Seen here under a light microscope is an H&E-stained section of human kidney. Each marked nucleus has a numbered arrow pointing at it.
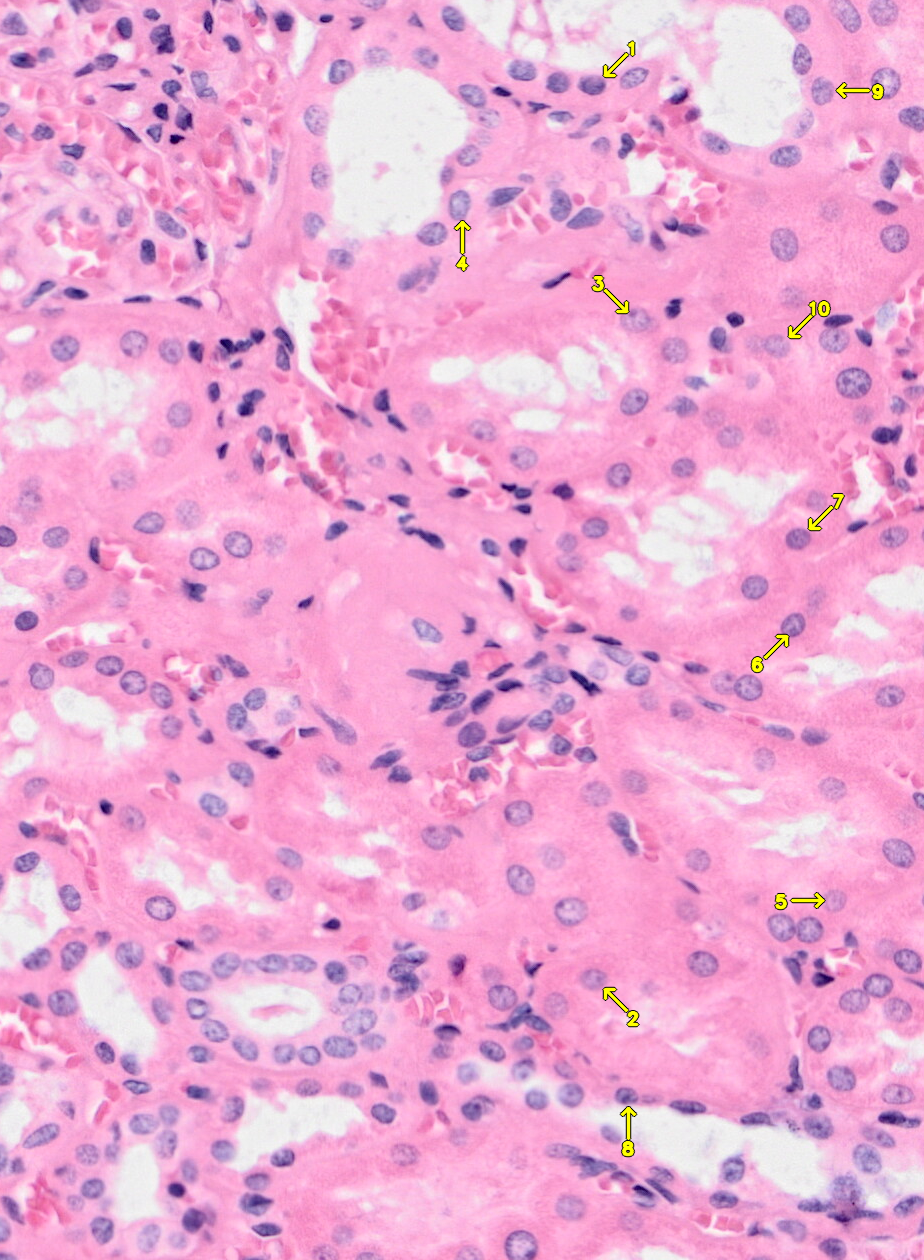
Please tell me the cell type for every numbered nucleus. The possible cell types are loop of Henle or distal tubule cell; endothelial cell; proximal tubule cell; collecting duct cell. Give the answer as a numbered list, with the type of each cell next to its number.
1. loop of Henle or distal tubule cell
2. proximal tubule cell
3. proximal tubule cell
4. loop of Henle or distal tubule cell
5. proximal tubule cell
6. proximal tubule cell
7. proximal tubule cell
8. loop of Henle or distal tubule cell
9. loop of Henle or distal tubule cell
10. proximal tubule cell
